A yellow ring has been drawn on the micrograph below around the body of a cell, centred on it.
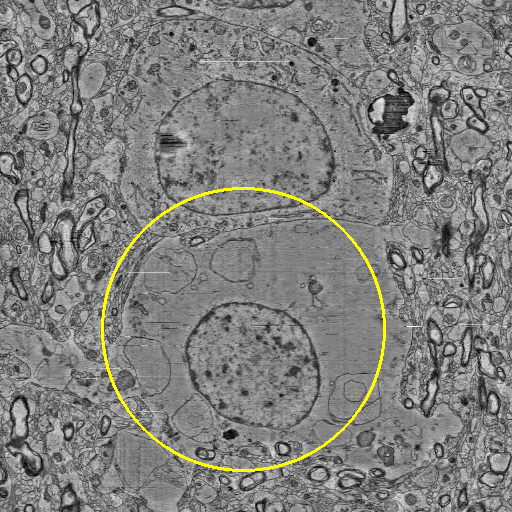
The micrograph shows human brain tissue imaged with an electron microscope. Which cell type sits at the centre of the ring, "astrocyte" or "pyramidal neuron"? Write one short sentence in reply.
The cell sitting at the centre of the ring is an astrocyte.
